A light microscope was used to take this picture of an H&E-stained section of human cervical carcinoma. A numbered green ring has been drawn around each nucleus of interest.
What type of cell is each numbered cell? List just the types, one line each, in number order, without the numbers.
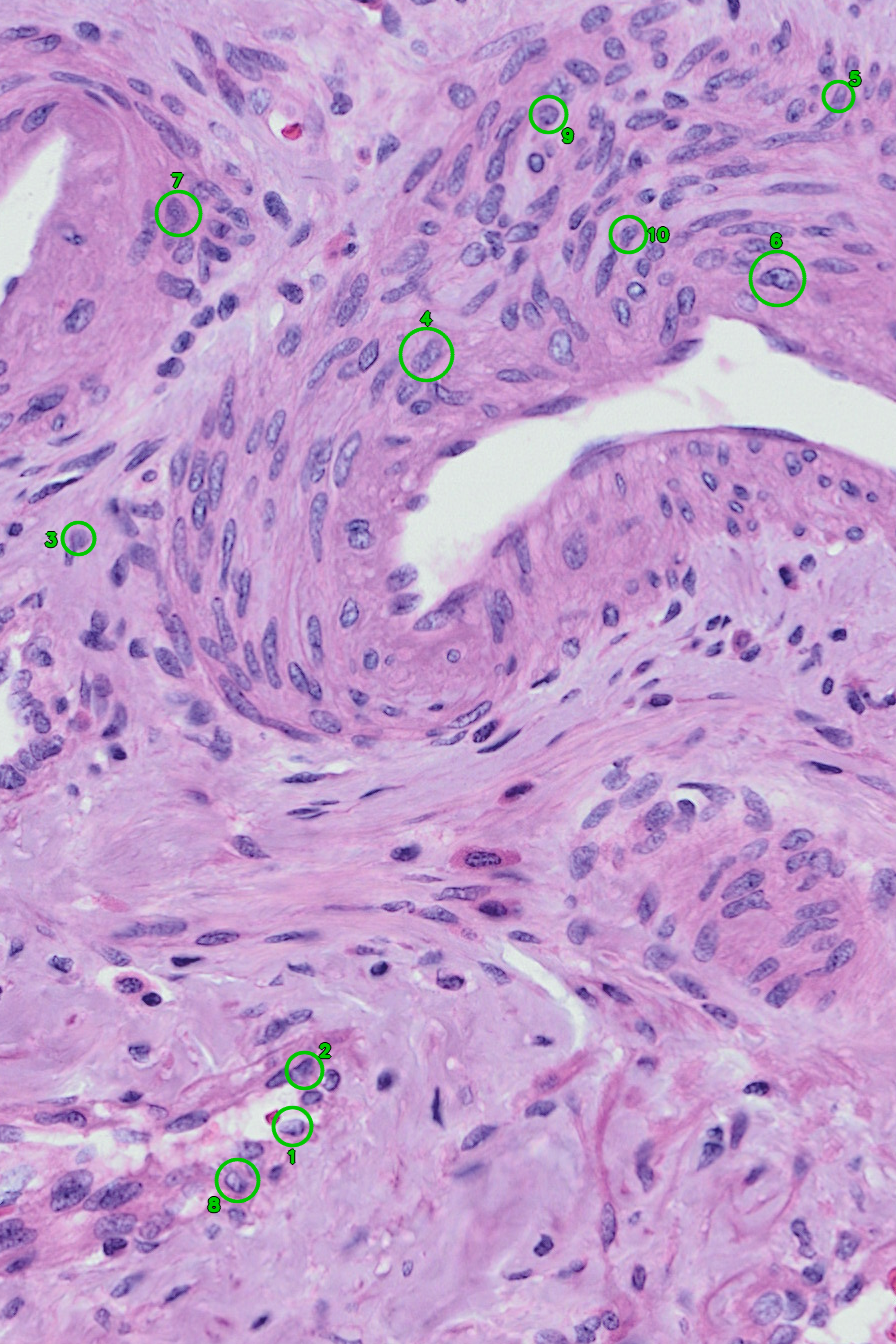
endothelial cell
endothelial cell
fibroblast
smooth muscle cell
smooth muscle cell
smooth muscle cell
smooth muscle cell
endothelial cell
smooth muscle cell
smooth muscle cell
